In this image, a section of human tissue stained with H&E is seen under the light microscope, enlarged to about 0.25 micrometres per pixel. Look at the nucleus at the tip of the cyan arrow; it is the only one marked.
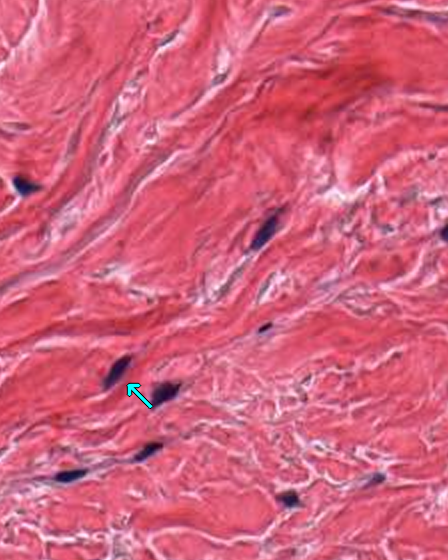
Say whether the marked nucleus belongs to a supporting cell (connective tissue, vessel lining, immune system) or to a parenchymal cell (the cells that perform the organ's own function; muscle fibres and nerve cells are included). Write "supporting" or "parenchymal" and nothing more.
supporting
